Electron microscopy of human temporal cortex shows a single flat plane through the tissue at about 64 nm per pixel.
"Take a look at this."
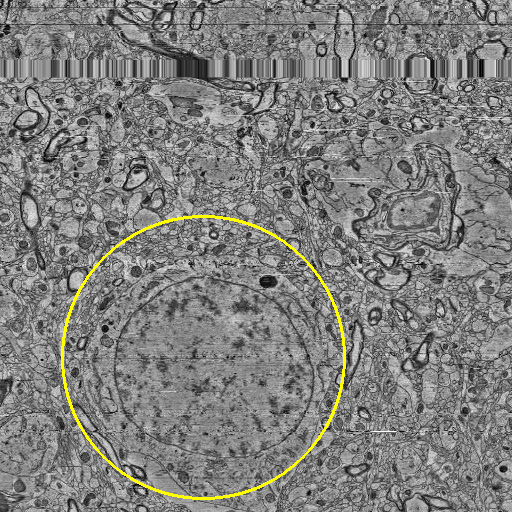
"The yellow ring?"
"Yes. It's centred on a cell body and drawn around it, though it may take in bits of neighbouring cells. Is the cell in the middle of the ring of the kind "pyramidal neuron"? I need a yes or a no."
Yes, it is of the kind asked about.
